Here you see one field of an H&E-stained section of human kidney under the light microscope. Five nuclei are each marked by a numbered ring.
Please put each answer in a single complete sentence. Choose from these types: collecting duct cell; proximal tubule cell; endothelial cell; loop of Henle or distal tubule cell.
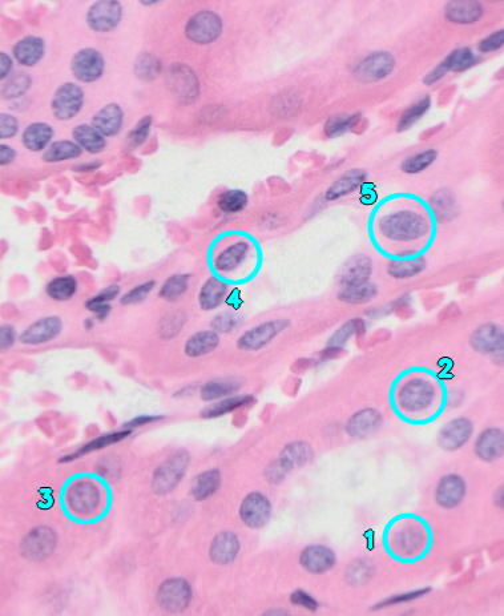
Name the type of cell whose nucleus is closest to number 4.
The nucleus nearest to number 4 is that of a collecting duct cell.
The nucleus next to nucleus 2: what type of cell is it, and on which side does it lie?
The nearest one is a loop of Henle or distal tubule cell, found to the right of nucleus 2.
